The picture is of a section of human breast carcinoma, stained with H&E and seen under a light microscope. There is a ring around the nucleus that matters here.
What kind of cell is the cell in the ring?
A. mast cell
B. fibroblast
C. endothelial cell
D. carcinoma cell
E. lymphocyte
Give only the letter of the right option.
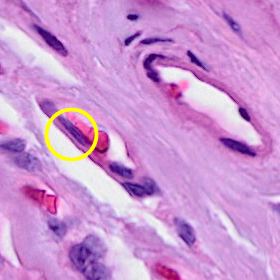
C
